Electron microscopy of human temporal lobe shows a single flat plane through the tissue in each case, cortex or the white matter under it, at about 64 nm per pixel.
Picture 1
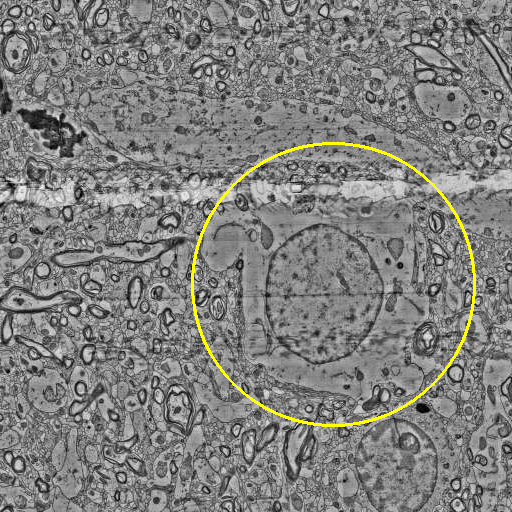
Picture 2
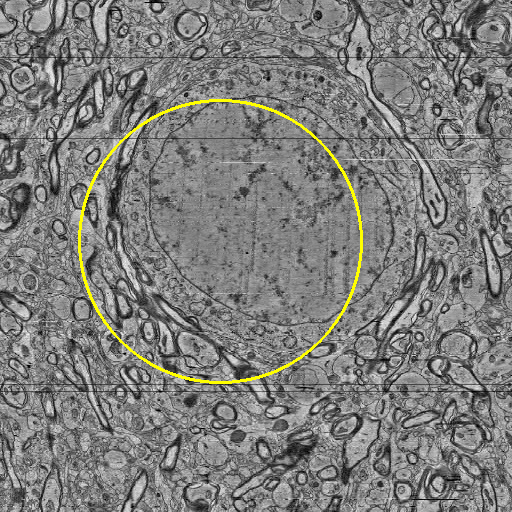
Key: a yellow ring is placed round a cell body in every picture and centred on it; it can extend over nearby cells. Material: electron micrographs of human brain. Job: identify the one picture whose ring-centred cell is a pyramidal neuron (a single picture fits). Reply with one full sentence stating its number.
Picture 2 is the one with the sought cell at the centre of its ring.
